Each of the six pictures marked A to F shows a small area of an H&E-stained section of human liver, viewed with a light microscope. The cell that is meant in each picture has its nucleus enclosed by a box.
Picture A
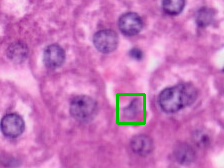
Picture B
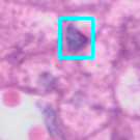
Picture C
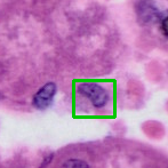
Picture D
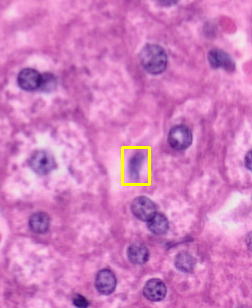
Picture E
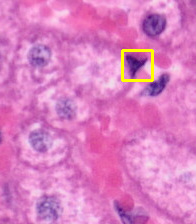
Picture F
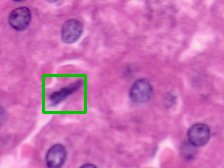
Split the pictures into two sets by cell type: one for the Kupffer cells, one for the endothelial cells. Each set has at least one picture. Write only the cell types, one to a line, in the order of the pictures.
Kupffer cell
endothelial cell
Kupffer cell
Kupffer cell
endothelial cell
Kupffer cell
